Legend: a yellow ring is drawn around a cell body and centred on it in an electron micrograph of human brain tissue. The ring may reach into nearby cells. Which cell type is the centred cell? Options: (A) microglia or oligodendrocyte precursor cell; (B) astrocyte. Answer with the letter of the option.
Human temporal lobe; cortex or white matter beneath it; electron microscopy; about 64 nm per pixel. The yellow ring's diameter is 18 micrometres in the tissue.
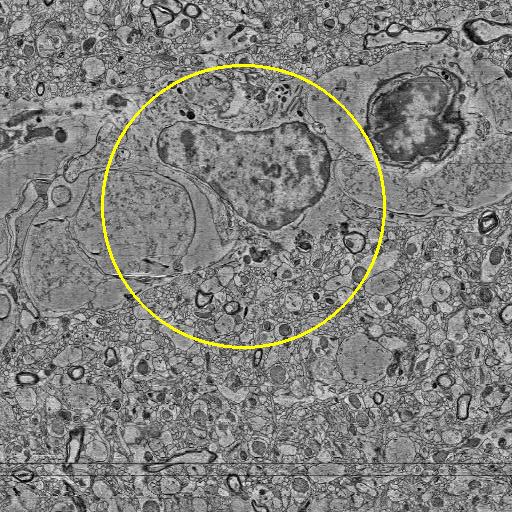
A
